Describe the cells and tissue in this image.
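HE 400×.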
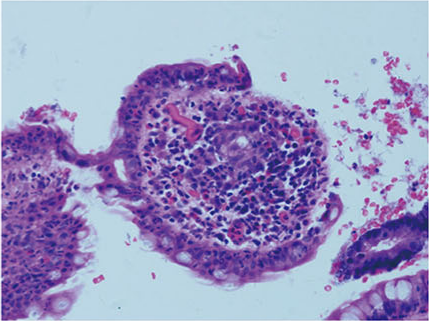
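A villus cut across shows a single layer of columnar epithelium around a core densely packed with inflammatory cells. Toward the center, a small group of cells with paler, larger nuclei and pink cytoplasm lies gathered together, a few epithelioid cells aggregated in the center of the villus.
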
